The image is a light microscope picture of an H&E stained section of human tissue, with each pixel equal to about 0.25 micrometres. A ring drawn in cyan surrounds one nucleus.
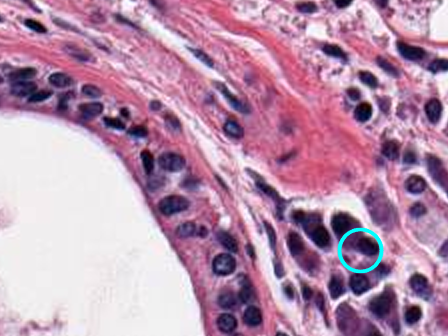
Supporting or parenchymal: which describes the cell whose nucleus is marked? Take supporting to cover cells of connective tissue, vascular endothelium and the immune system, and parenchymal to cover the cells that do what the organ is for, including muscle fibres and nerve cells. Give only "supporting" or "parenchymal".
supporting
